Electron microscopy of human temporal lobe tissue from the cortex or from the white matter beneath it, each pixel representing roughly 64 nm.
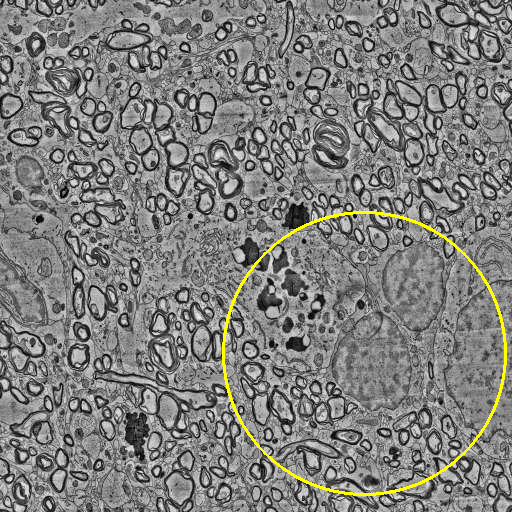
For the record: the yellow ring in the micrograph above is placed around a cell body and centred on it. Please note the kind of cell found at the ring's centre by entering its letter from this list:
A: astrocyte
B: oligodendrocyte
B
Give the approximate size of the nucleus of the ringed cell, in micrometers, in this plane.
Approximately 6 x 5 micrometres in this plane.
